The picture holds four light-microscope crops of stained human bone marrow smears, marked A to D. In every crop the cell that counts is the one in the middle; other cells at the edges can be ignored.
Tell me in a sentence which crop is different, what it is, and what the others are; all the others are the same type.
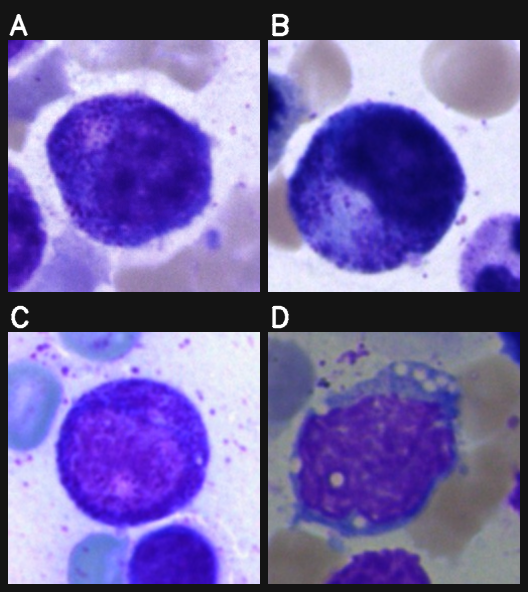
The crop that differs is crop D, showing a blast; the others show promyelocytes.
